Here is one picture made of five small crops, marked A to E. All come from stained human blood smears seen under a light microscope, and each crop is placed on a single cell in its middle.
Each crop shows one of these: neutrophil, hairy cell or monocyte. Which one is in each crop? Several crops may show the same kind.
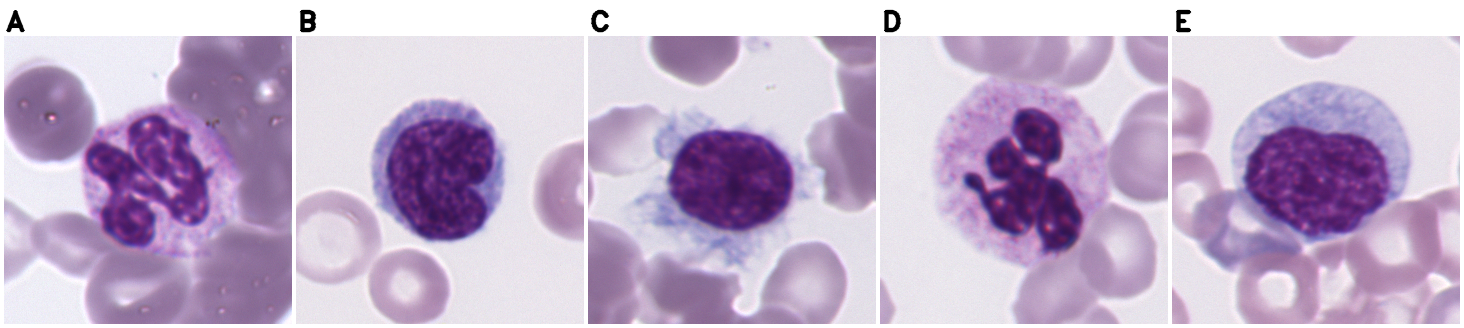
A: neutrophil
B: monocyte
C: hairy cell
D: neutrophil
E: monocyte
